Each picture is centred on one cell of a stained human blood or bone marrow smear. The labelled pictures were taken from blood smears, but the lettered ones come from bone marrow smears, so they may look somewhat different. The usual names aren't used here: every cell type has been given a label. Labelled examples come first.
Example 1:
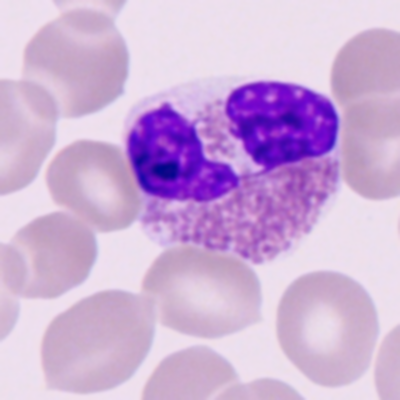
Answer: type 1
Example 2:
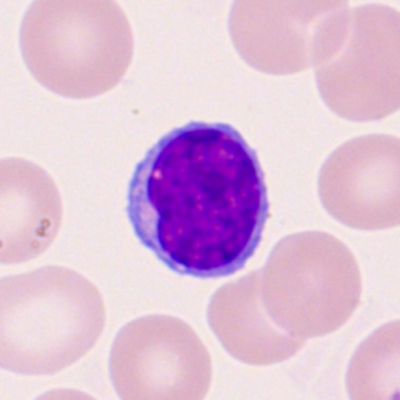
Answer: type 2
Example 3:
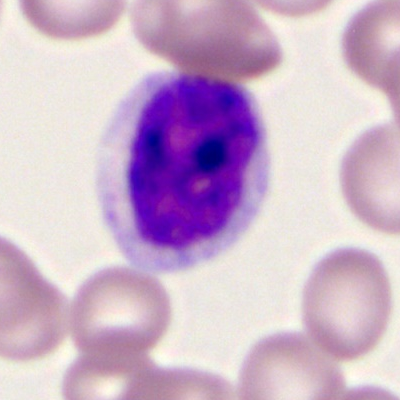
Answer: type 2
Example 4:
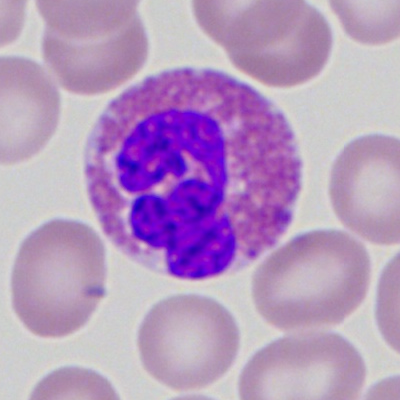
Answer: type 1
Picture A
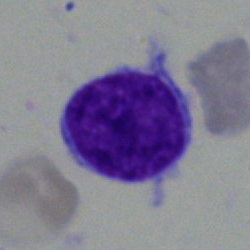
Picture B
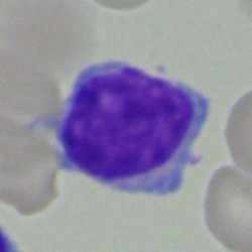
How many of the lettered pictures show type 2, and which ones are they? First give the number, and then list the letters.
2: A, B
